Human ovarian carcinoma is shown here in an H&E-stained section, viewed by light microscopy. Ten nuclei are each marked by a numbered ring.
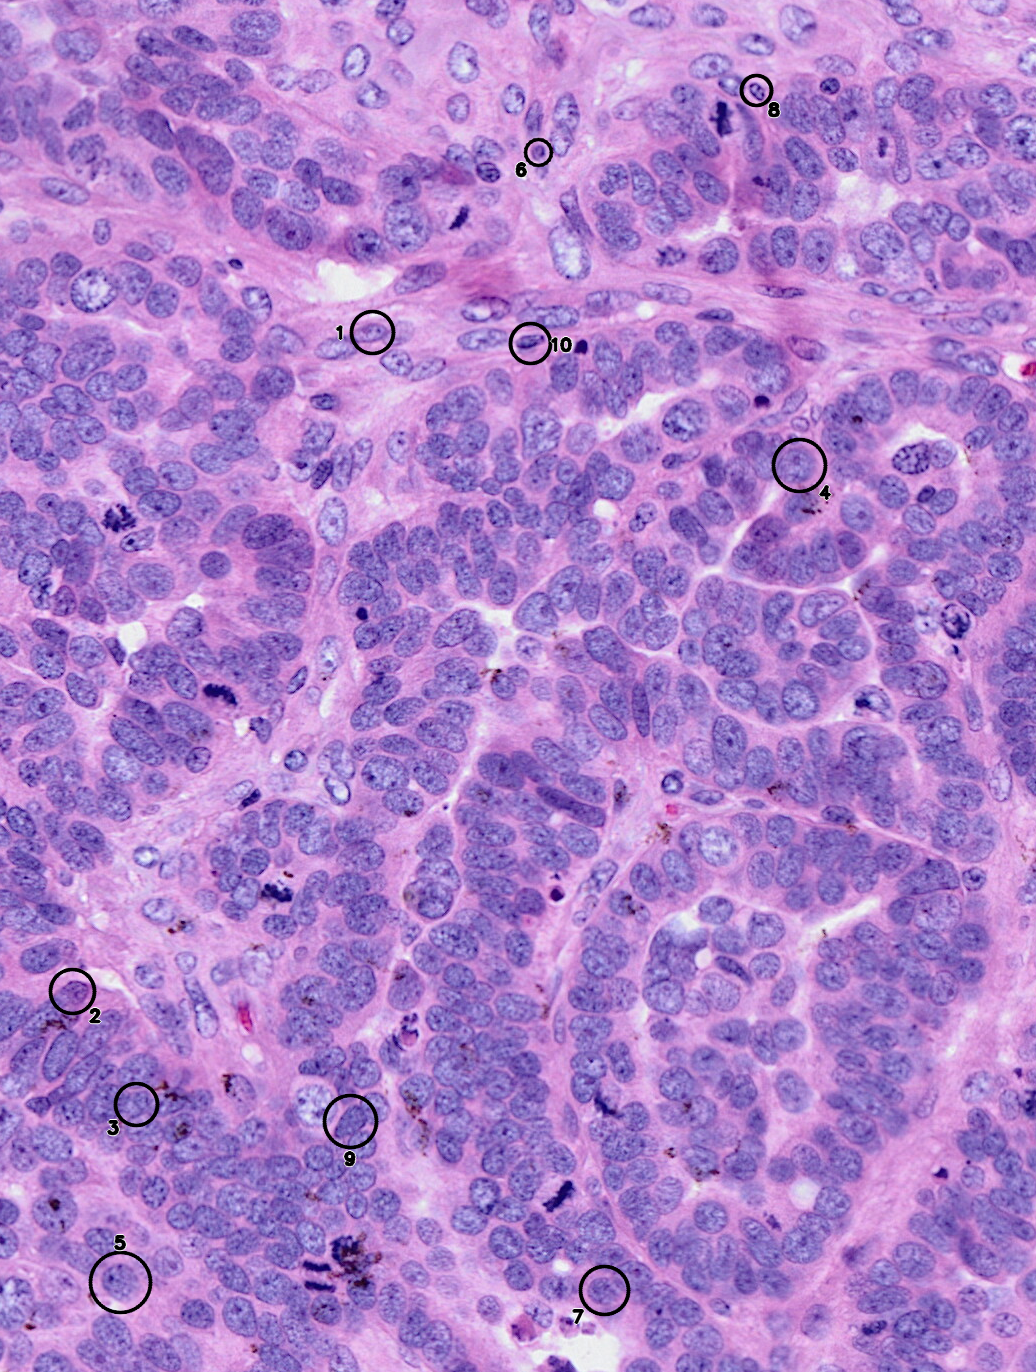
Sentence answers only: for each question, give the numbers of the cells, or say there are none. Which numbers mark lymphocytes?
Cells 6, 8 and 10 share one type; they are lymphocytes.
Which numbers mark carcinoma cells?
Classified as carcinoma cells are the cells numbered 2, 3, 4, 5, 7 and 9.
